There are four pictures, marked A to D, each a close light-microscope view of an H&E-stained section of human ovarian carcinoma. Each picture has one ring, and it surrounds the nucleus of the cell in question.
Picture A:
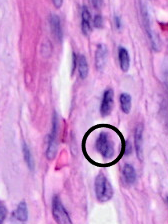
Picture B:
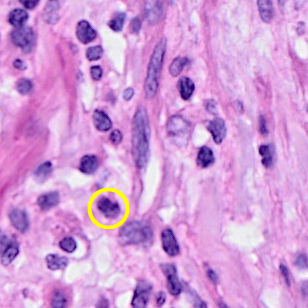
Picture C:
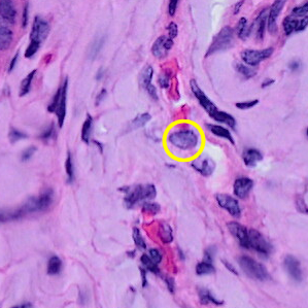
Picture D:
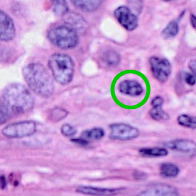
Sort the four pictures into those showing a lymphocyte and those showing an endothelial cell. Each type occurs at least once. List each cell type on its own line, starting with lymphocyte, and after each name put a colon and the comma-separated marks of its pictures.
lymphocyte: A, B, D
endothelial cell: C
